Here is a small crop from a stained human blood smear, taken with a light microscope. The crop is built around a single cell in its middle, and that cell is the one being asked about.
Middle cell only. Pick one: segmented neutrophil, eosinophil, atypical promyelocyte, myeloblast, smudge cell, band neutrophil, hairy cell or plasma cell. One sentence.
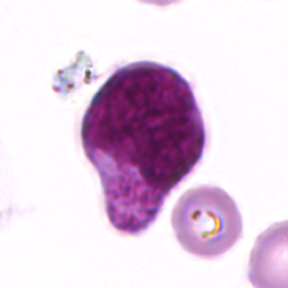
The cell at the centre of the field is an atypical promyelocyte.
